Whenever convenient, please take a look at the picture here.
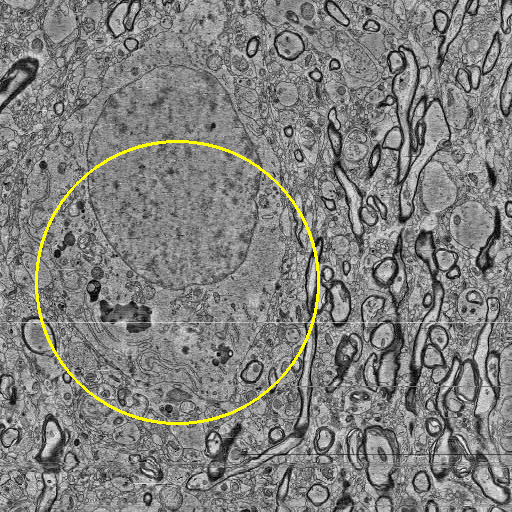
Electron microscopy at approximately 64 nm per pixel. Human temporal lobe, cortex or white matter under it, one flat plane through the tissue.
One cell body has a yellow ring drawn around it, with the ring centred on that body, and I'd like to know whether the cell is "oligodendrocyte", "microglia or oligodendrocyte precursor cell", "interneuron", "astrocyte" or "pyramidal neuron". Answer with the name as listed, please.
interneuron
